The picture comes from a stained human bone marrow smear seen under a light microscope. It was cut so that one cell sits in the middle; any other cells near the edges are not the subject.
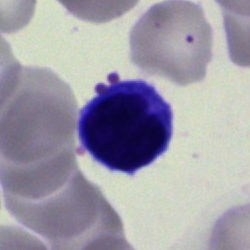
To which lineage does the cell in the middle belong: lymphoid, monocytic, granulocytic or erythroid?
lymphoid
